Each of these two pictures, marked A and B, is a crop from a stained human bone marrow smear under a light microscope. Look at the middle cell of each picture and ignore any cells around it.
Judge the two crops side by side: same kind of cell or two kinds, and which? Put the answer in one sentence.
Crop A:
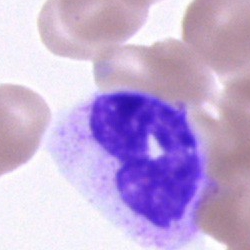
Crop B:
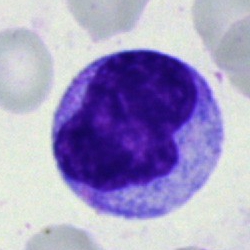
No, at the centre of crop A is a segmented neutrophil, and at the centre of crop B is a monocyte.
